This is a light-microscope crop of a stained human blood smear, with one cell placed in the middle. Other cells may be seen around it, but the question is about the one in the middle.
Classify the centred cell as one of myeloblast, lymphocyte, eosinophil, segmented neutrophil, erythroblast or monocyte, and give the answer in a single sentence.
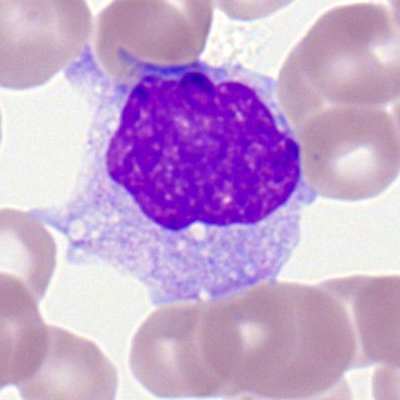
The central cell shown in this smear crop is a monocyte.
